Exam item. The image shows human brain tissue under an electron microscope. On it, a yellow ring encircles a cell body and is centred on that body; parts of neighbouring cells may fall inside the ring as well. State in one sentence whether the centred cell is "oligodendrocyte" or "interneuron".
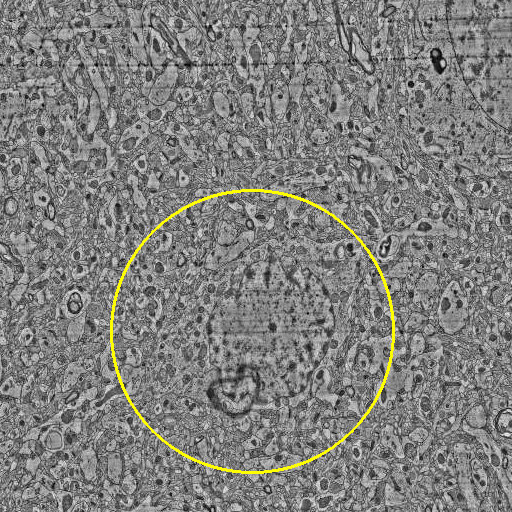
The cell body centred in the ring is an interneuron.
